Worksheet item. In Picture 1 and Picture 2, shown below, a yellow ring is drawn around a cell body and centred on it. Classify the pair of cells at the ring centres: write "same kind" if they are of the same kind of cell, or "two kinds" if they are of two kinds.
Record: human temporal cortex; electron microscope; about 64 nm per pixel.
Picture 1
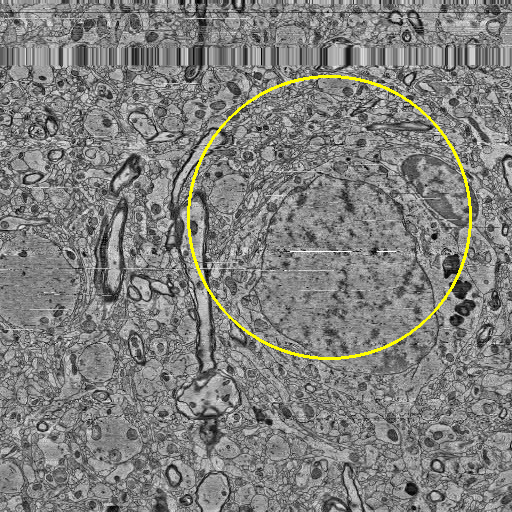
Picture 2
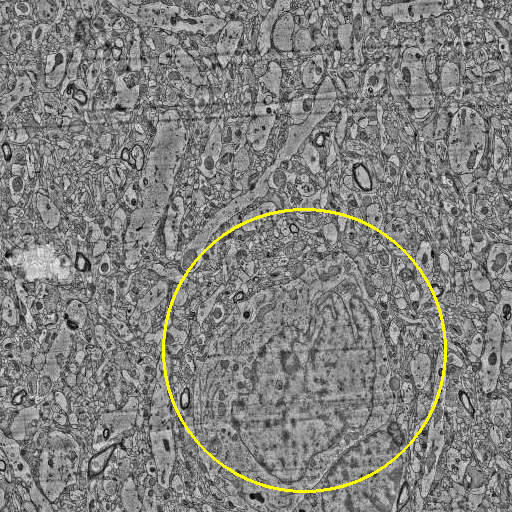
two kinds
